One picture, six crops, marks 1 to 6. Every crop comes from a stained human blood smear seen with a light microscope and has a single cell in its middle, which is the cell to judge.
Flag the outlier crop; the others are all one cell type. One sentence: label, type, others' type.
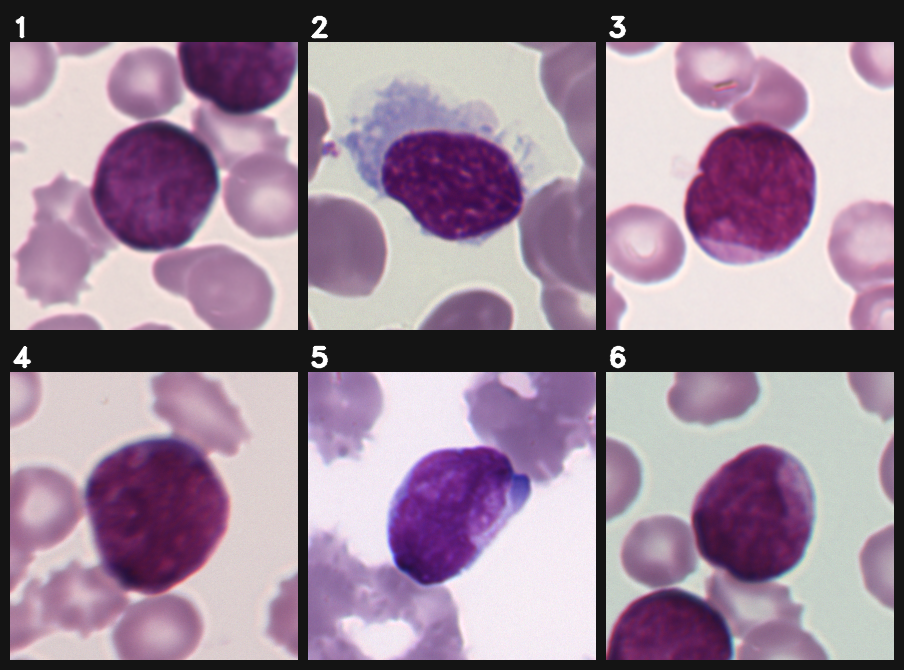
What sets crop 2 apart is that it shows a hairy cell, while the others show myeloblasts.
